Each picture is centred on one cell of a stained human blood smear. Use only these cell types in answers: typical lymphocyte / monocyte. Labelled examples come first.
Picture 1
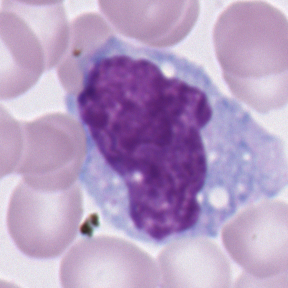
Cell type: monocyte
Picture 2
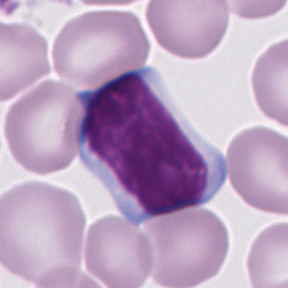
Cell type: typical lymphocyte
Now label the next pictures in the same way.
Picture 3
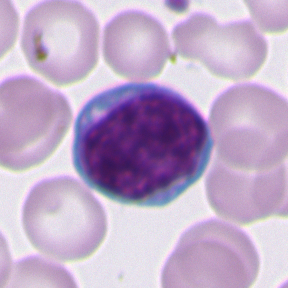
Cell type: typical lymphocyte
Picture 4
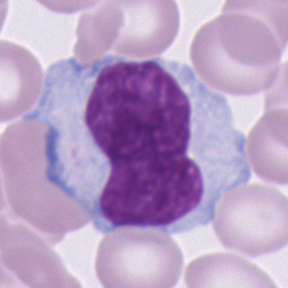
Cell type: monocyte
